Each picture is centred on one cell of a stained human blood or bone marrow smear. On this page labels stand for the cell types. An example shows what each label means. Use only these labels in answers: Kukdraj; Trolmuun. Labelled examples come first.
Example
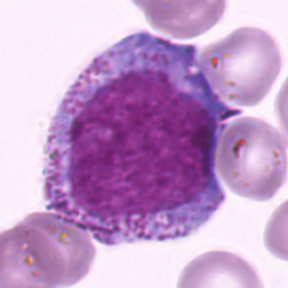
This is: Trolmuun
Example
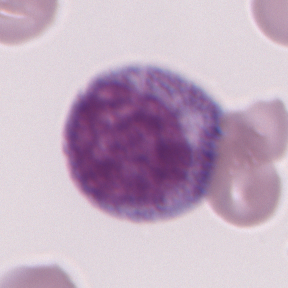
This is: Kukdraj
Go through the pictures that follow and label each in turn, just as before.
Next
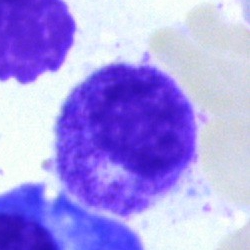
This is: Kukdraj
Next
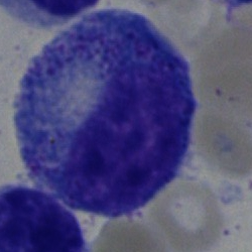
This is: Trolmuun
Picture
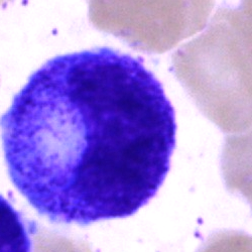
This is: Trolmuun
